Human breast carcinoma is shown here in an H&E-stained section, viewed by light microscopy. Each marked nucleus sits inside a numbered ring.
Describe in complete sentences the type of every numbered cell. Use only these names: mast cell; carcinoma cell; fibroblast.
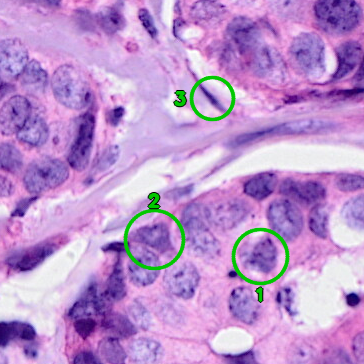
Cells 1 and 2 are carcinoma cells. Cell 3 is a fibroblast.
